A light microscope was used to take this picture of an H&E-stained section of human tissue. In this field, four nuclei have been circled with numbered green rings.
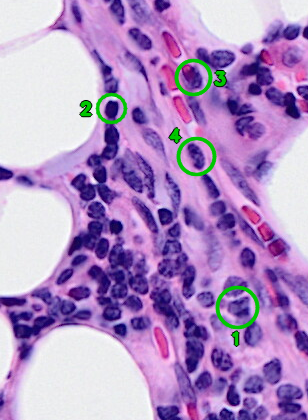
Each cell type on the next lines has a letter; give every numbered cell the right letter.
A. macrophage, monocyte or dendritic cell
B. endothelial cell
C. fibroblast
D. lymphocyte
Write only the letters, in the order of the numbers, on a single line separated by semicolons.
D; D; B; D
